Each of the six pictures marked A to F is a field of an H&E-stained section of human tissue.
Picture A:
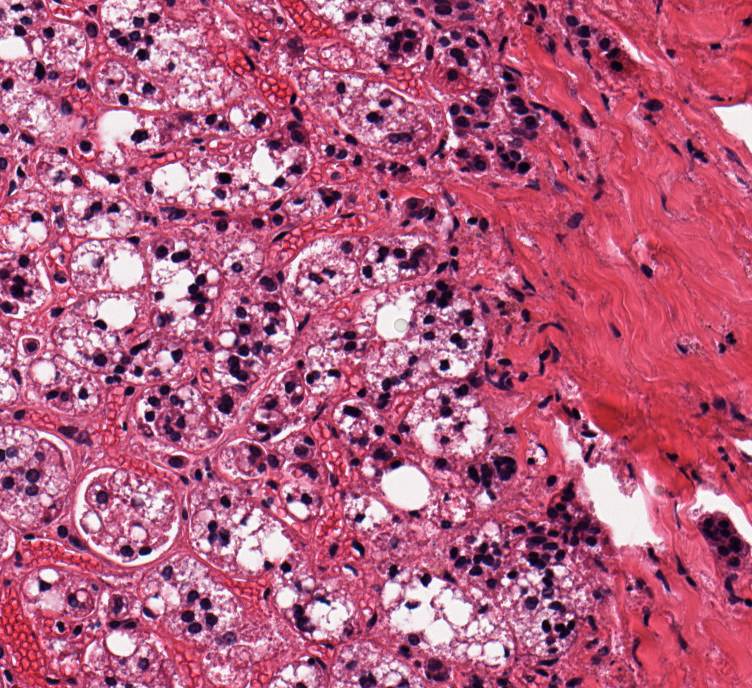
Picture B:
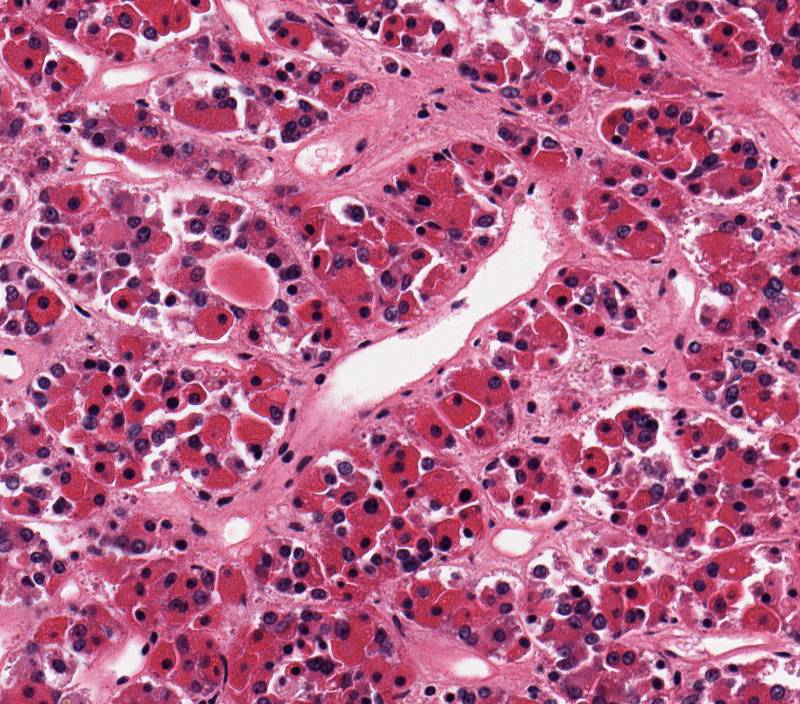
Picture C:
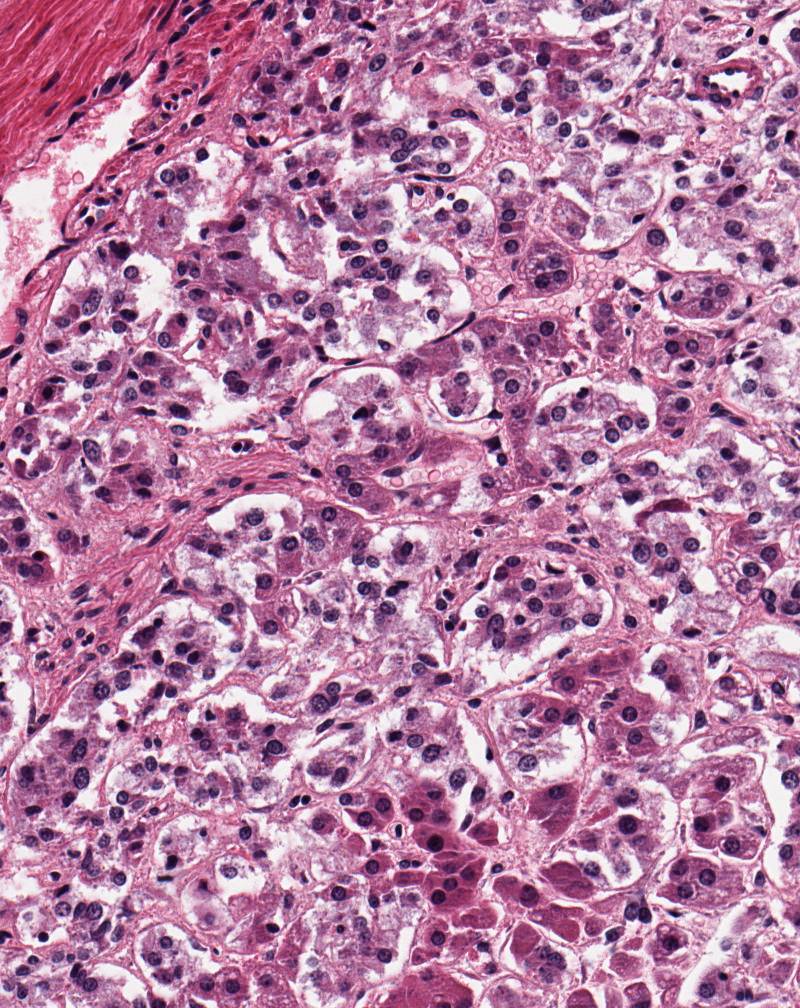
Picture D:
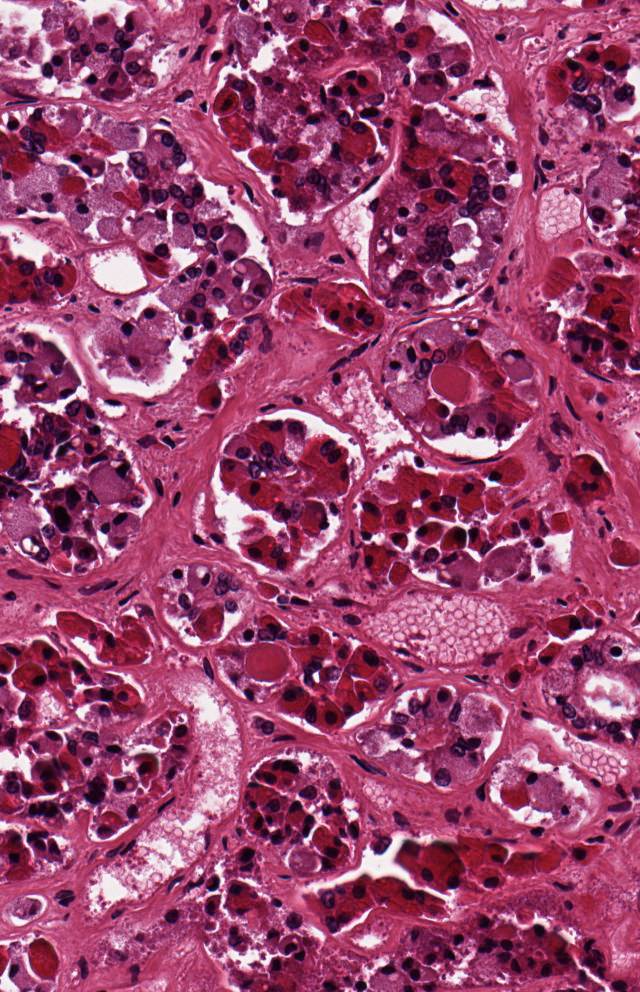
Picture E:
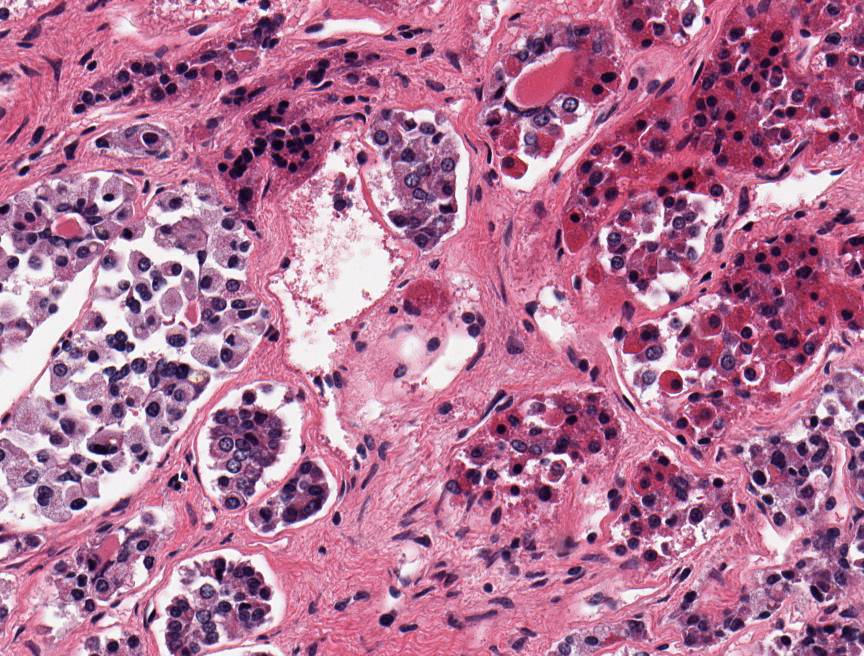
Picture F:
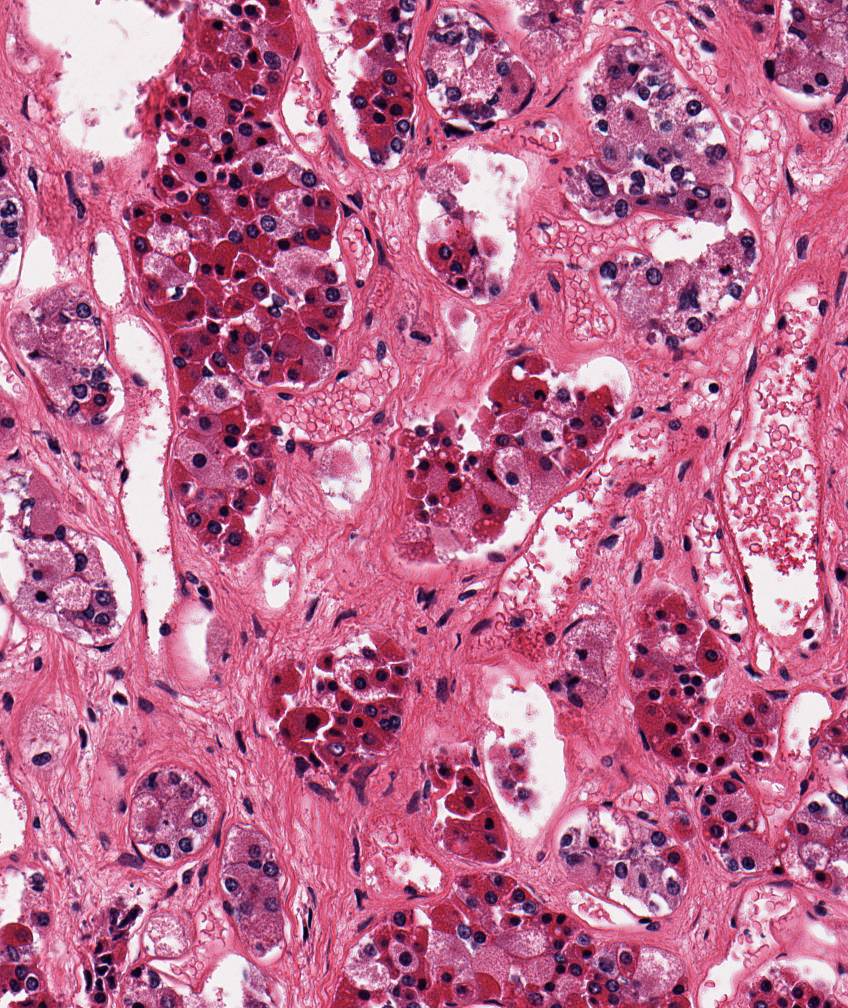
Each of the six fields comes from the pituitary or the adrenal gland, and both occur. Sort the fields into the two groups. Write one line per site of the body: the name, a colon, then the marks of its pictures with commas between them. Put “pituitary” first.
pituitary: B, D, E, F
adrenal gland: A, C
